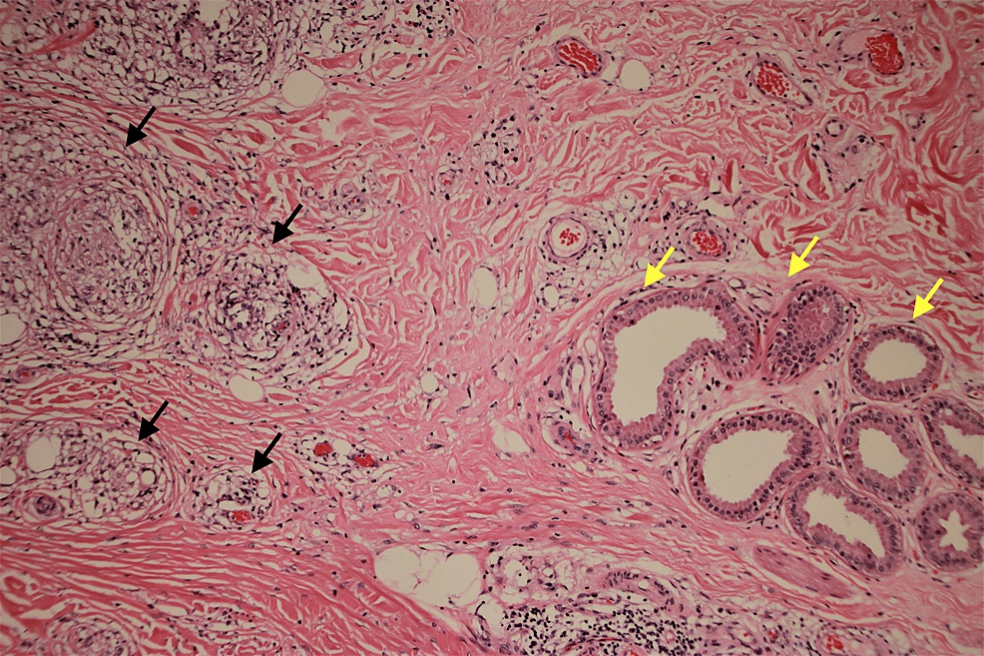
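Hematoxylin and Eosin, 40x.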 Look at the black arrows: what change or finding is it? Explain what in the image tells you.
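Rounded, well-circumscribed nodules of pale, loosely arranged cells sit in the stroma. Dark-nucleated small cells lie at the edges of the nodules. No central necrotic debris is visible within the nodules. That points to this answer: non-necrotizing granulomas.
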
